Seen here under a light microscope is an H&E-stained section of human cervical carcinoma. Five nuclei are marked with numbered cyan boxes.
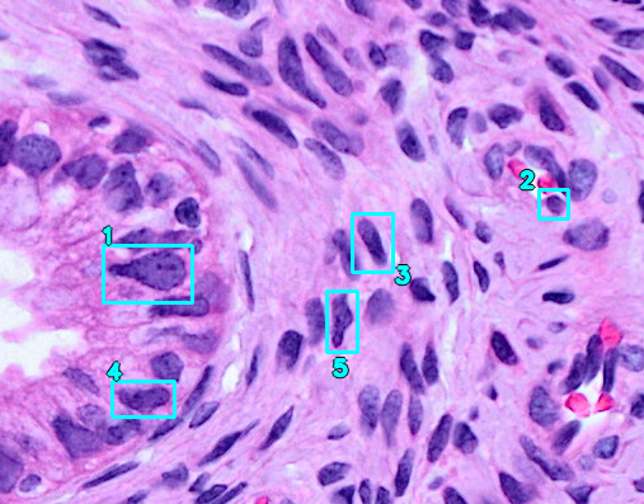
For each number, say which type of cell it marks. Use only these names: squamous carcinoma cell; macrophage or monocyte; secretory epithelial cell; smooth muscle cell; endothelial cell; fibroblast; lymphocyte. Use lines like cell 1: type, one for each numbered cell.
cell 1: secretory epithelial cell
cell 2: endothelial cell
cell 3: fibroblast
cell 4: secretory epithelial cell
cell 5: fibroblast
